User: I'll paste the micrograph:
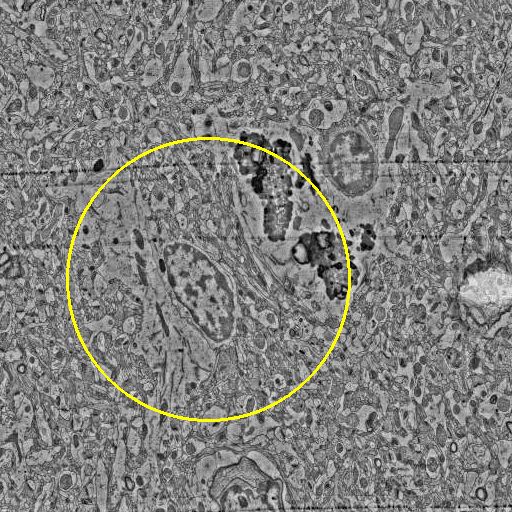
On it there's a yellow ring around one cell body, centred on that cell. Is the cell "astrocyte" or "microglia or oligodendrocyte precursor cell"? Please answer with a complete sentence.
The cell ringed in yellow is a microglial cell or oligodendrocyte precursor cell.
